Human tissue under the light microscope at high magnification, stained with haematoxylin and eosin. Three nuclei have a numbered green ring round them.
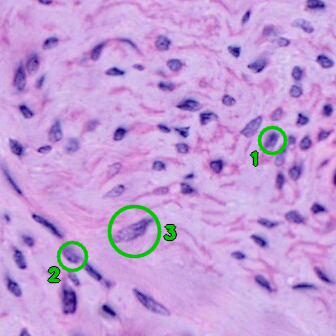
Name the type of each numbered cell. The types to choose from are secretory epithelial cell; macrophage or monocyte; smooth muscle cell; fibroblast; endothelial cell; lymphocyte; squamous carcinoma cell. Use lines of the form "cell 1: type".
cell 1: smooth muscle cell
cell 2: fibroblast
cell 3: smooth muscle cell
